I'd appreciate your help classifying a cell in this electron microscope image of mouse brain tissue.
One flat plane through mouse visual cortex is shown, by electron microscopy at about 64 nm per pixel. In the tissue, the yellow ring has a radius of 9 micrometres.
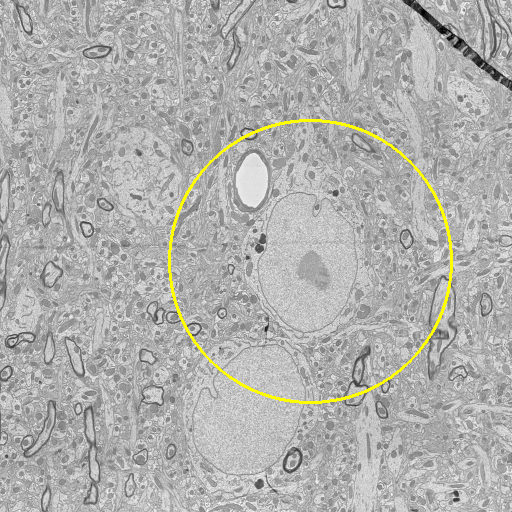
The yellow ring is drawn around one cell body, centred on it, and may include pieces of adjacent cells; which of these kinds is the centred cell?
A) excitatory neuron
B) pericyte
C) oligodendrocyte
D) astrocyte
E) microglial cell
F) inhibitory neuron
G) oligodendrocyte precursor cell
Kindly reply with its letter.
A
